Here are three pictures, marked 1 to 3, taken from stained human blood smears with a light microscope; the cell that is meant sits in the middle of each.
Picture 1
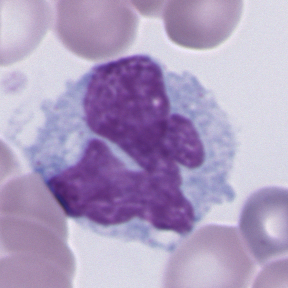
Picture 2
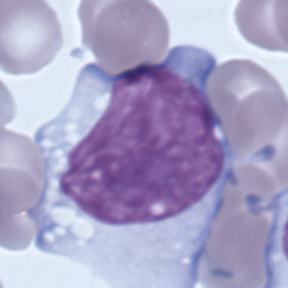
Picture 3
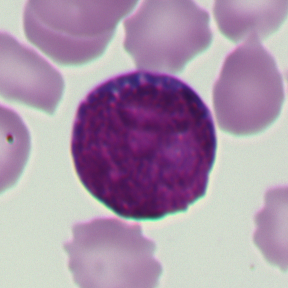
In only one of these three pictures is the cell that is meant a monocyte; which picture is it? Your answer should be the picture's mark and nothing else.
1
